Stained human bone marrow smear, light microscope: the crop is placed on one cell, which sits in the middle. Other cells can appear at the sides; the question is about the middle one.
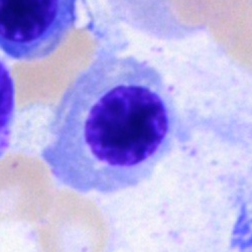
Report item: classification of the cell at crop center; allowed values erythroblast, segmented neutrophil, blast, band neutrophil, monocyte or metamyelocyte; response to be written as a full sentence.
The target cell in the middle of the crop is an erythroblast.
